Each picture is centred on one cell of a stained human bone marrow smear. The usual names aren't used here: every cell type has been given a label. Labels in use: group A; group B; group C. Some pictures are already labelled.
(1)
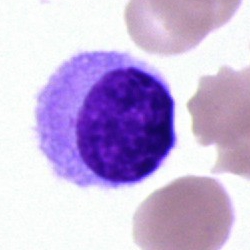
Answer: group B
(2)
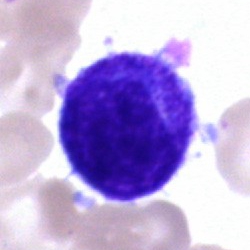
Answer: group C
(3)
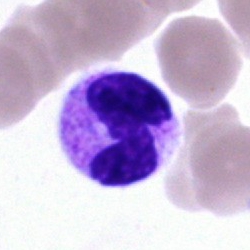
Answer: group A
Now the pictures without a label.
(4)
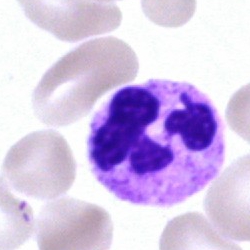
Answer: group A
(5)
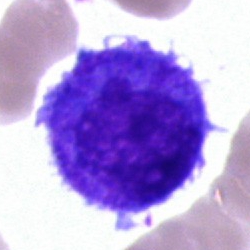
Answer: group C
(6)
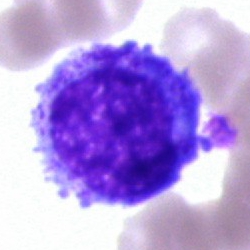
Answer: group C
